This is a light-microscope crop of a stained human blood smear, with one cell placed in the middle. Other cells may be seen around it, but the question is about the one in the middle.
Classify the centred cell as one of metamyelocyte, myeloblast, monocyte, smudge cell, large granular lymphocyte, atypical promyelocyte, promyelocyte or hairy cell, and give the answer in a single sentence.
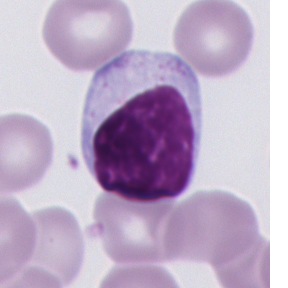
Present in the middle of the crop is a large granular lymphocyte.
